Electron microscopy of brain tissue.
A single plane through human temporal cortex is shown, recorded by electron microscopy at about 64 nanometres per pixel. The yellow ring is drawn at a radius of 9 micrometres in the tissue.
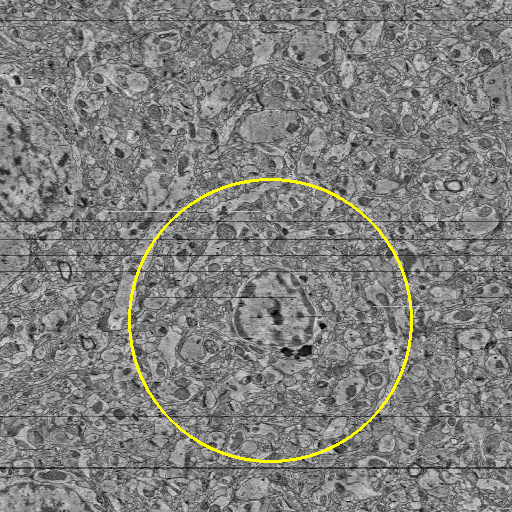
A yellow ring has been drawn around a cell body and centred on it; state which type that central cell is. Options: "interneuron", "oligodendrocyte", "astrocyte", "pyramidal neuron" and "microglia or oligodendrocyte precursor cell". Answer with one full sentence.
The cell at the middle of the yellow ring is a microglial cell or oligodendrocyte precursor cell in this picture.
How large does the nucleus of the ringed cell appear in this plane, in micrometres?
The nucleus comes to roughly 5 micrometres across in this plane.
